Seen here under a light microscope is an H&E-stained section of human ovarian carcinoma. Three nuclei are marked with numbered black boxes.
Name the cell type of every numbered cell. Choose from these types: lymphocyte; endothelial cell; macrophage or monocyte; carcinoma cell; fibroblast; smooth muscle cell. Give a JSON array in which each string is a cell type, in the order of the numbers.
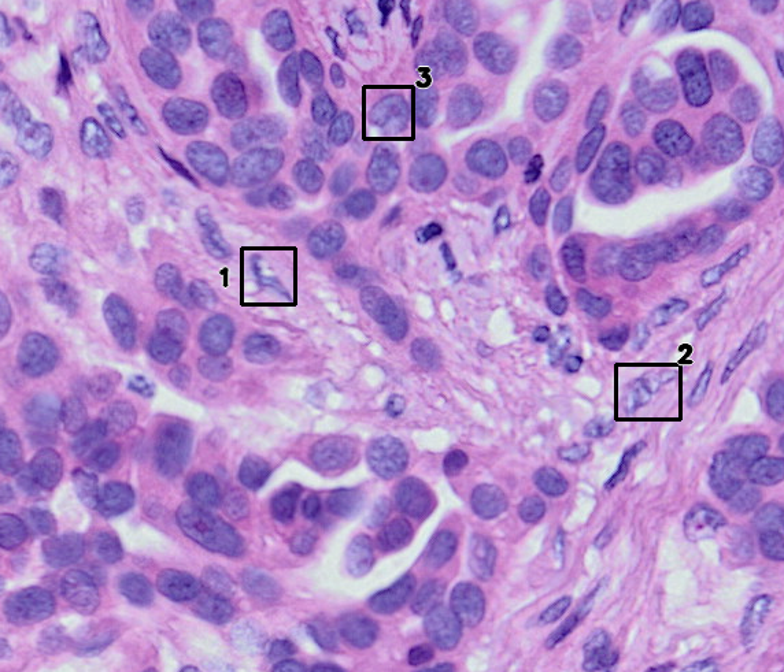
["fibroblast", "fibroblast", "carcinoma cell"]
